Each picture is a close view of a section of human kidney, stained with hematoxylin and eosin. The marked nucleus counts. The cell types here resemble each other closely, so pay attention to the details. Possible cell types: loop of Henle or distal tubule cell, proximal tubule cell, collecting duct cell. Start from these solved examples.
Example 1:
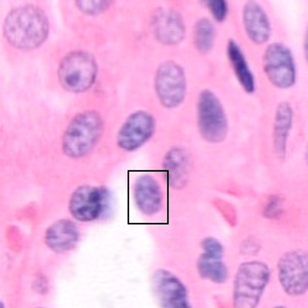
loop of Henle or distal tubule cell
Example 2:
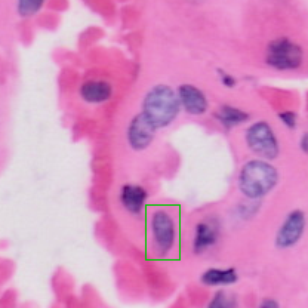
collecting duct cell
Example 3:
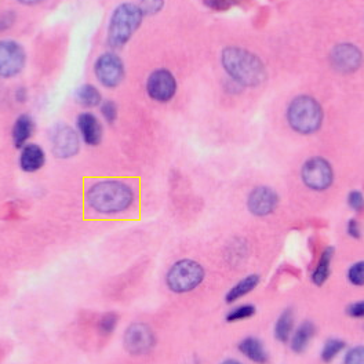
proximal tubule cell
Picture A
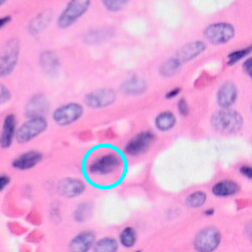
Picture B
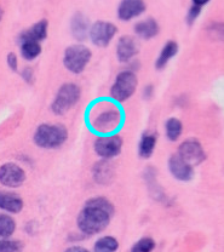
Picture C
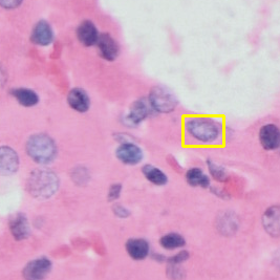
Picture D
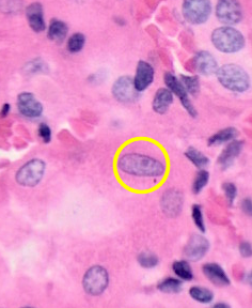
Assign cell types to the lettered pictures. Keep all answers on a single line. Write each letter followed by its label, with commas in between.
A collecting duct cell, B collecting duct cell, C loop of Henle or distal tubule cell, D proximal tubule cell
